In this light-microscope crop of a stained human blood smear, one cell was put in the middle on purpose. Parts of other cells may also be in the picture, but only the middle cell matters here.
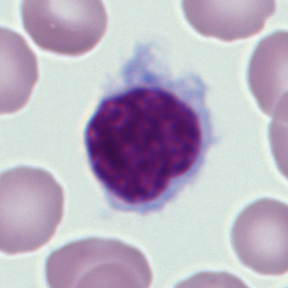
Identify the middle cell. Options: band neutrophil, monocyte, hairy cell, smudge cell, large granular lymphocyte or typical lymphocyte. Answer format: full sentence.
Present in the middle of the crop is a hairy cell.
